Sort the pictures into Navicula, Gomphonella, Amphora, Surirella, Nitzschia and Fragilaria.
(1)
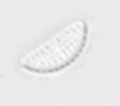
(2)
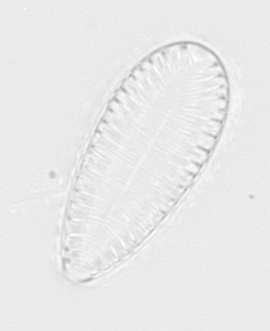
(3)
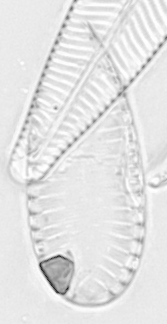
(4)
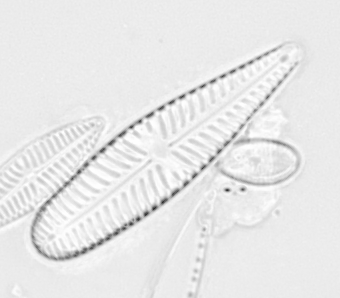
Amphora: 1
Surirella: 2, 3
Gomphonella: 4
